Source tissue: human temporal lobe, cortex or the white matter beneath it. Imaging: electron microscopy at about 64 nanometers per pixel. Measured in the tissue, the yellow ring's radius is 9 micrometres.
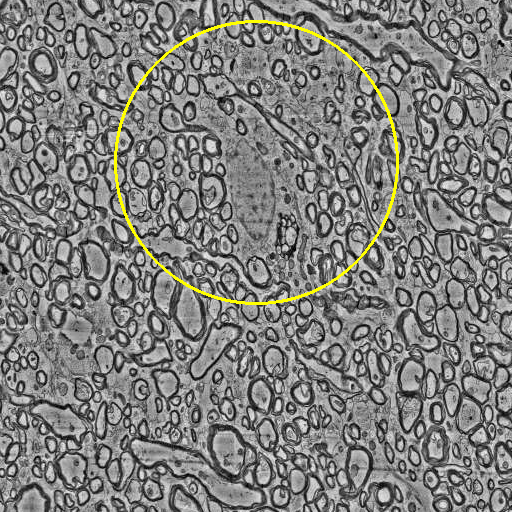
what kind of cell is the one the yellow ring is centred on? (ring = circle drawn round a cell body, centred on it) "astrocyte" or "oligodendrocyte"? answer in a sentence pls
The ring is drawn around an astrocyte.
